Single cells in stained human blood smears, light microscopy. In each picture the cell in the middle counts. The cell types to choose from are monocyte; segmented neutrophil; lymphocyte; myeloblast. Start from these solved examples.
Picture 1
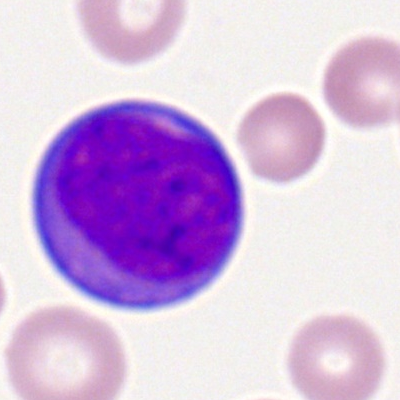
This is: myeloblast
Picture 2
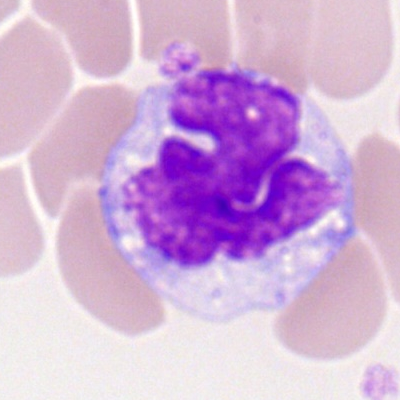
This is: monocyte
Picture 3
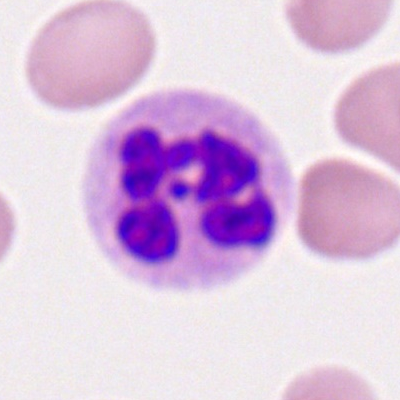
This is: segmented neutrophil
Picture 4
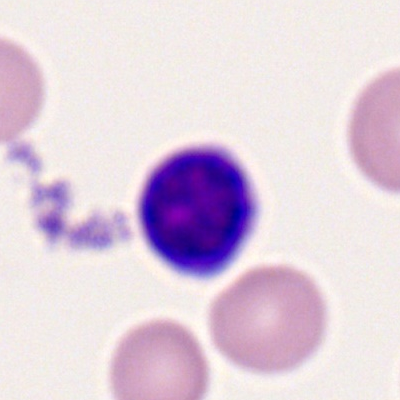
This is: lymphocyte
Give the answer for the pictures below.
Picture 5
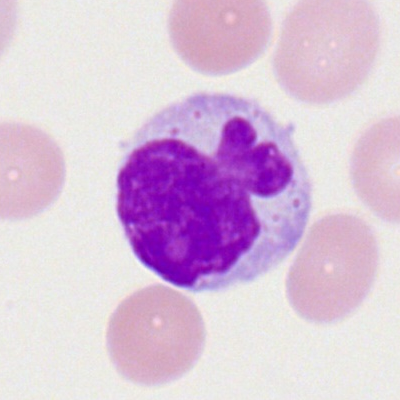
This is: lymphocyte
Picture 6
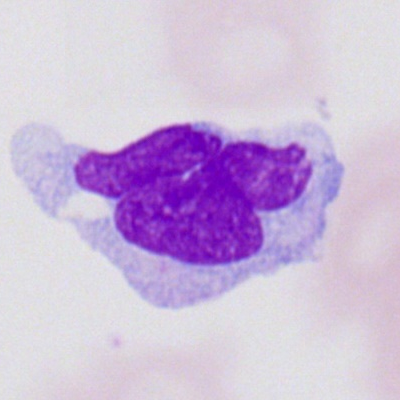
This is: monocyte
